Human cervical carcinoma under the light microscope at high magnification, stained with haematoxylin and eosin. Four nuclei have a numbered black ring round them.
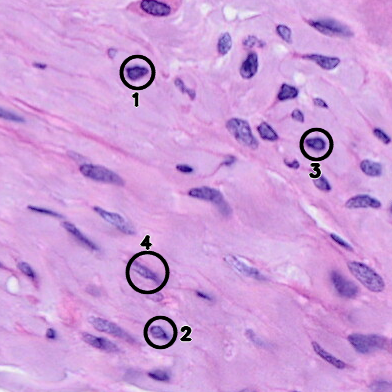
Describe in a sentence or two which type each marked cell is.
Cells 1, 2 and 3 are fibroblasts. Cell 4 is a smooth muscle cell.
